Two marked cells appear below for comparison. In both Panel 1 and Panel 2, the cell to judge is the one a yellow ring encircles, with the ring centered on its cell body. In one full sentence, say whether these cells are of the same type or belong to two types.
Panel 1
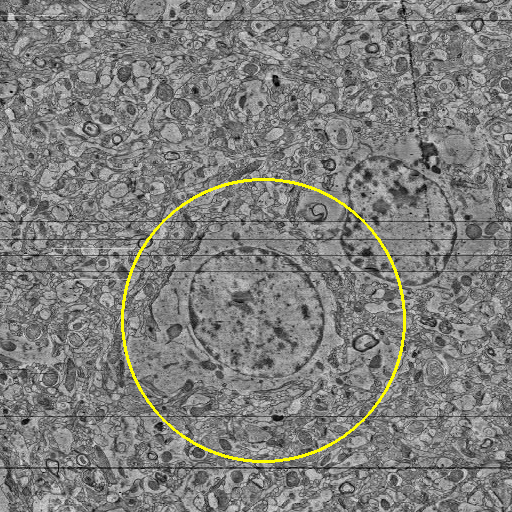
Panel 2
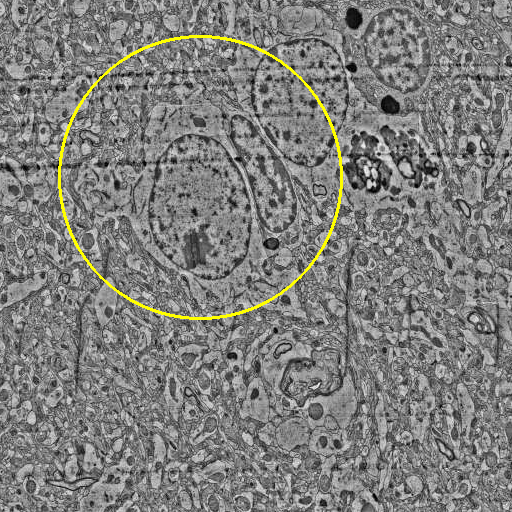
The cell centered in the Panel 1 ring and the one in Panel 2 are of the same type.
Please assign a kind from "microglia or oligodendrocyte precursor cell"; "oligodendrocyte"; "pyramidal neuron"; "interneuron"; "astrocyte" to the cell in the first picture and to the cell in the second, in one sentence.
The ring centre holds an astrocyte in each of the two pictures.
